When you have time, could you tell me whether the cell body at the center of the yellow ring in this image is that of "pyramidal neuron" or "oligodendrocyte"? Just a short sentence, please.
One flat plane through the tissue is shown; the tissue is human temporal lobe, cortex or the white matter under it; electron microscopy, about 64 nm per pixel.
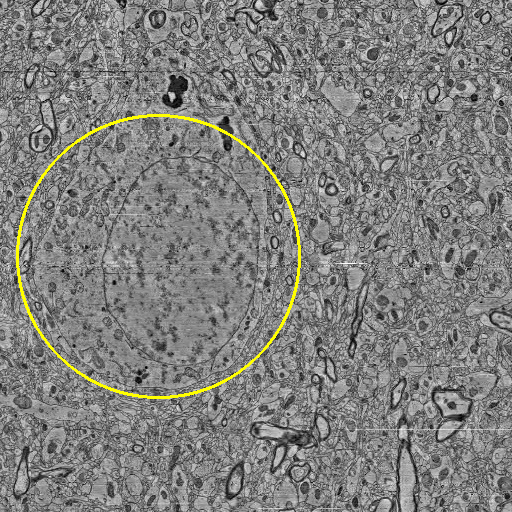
The cell body at the center of the ring is that of a pyramidal neuron.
